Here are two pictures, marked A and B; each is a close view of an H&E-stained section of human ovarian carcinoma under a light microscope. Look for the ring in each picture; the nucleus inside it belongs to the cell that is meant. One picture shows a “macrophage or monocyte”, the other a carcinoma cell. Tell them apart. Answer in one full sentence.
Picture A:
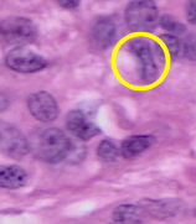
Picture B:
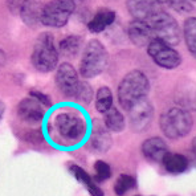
Picture A is of a carcinoma cell, and picture B is of a “macrophage or monocyte”.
